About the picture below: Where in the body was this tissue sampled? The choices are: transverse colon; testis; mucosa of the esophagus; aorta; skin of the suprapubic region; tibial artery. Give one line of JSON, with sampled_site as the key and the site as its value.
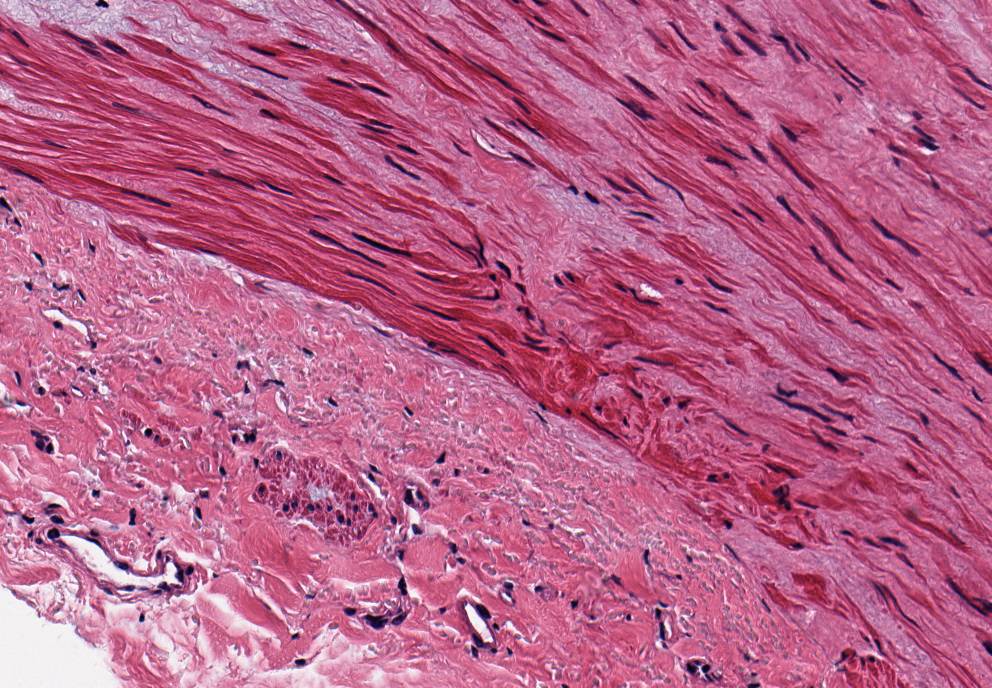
{"sampled_site": "tibial artery"}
